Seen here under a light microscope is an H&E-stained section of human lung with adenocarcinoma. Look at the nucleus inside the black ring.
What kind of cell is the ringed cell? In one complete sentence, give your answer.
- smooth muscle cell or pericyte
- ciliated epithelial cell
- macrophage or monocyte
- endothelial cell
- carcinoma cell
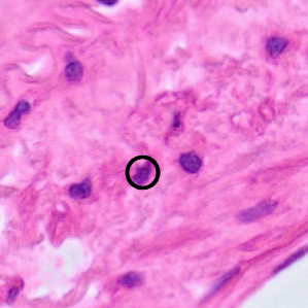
Speaking plainly, the ringed cell is nothing other than a smooth muscle cell or pericyte.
